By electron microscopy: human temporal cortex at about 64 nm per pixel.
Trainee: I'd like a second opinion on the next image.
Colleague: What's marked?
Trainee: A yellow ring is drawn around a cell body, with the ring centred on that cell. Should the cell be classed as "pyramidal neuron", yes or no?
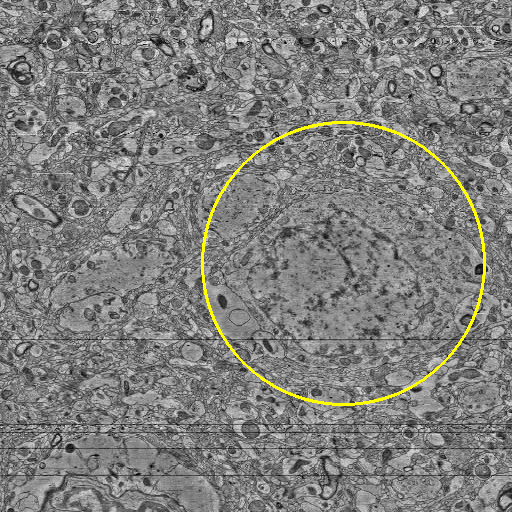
No, it should be classed as another kind.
